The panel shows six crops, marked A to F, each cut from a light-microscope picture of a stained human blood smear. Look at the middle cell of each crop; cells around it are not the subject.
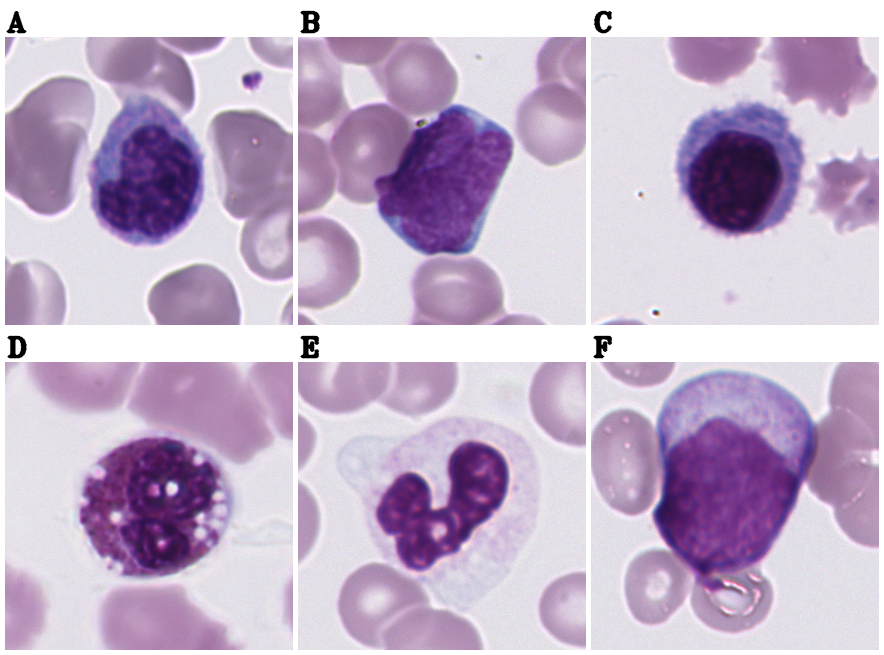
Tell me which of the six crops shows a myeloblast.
B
